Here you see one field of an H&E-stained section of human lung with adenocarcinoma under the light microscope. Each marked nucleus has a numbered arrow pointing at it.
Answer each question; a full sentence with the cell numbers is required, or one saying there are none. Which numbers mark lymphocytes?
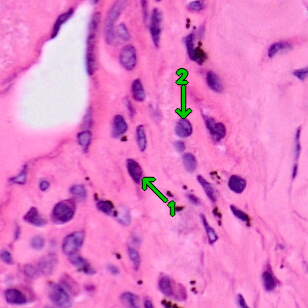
Exactly one numbered cell is a lymphocyte, and that cell is number 2.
